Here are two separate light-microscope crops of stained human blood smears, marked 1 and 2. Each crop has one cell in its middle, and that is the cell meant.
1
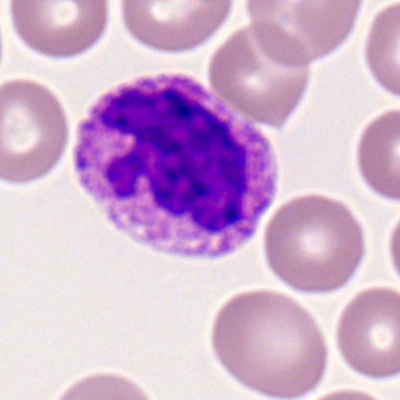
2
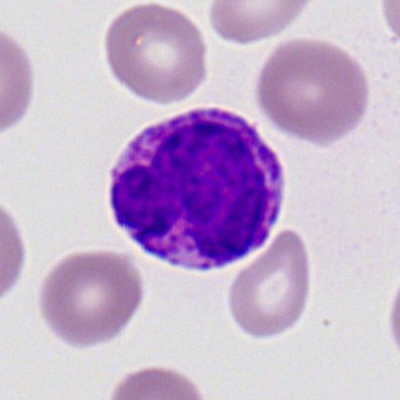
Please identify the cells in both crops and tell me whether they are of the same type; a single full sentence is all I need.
Yes, the first and the second crop both show basophils.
